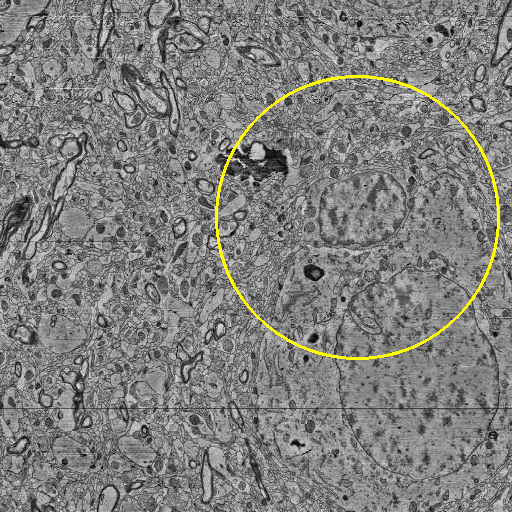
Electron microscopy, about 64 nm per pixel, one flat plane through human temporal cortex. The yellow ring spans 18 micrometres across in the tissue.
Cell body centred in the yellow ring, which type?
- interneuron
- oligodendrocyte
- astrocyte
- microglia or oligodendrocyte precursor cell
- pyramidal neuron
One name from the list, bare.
oligodendrocyte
